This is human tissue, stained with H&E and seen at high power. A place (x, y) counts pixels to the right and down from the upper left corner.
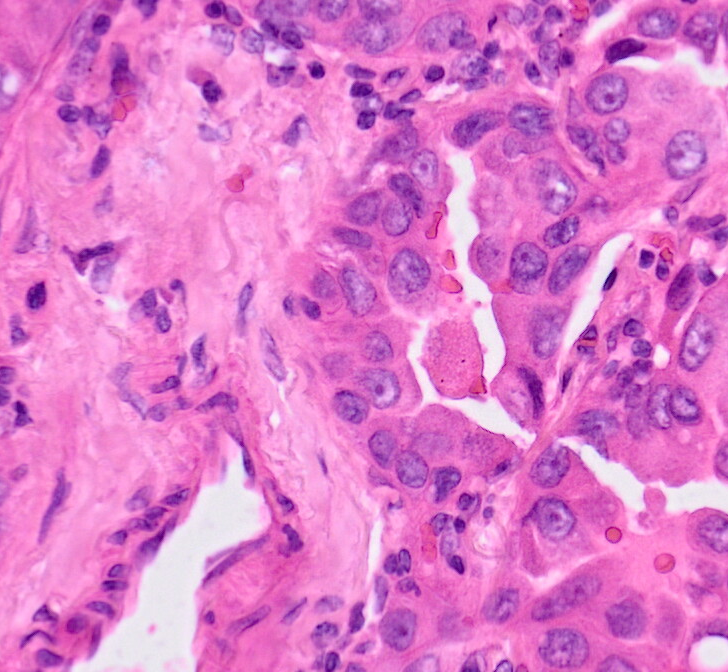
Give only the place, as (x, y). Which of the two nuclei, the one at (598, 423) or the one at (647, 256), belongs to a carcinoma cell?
(598, 423)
